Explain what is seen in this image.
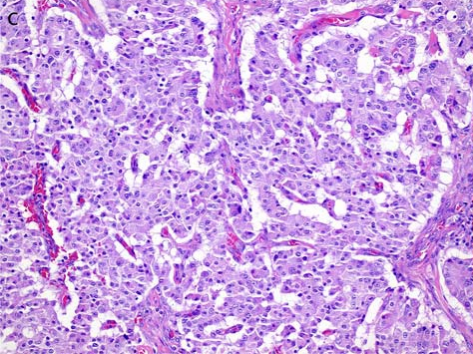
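This is a well differentiated neuroendocrine tumour, its cells arranged in orderly nests and anastomosing trabeculae separated by thin pink fibrovascular septa with small vessels. Between the cell cords there are slit-like and small gland-like spaces. The cells have a moderate amount of pink to purplish cytoplasm and round, fairly uniform nuclei, so atypia is only mild.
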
